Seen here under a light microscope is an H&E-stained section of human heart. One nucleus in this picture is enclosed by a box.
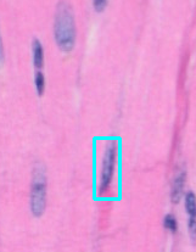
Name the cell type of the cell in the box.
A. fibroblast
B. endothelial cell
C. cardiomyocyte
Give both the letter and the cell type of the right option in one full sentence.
It is option B that is correct, the cell in the box being an endothelial cell.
